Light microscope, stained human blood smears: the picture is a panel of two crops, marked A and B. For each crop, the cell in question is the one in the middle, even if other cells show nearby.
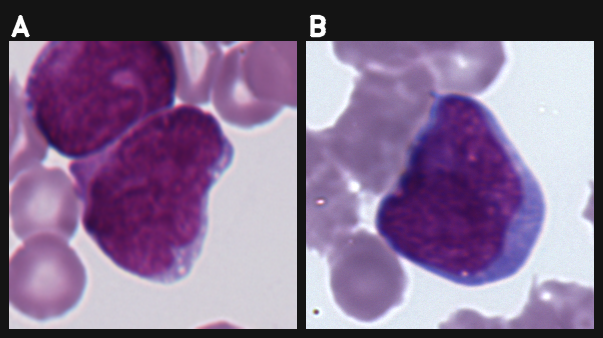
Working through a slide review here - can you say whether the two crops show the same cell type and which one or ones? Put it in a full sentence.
Yes, that holds, both crops show myeloblasts.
